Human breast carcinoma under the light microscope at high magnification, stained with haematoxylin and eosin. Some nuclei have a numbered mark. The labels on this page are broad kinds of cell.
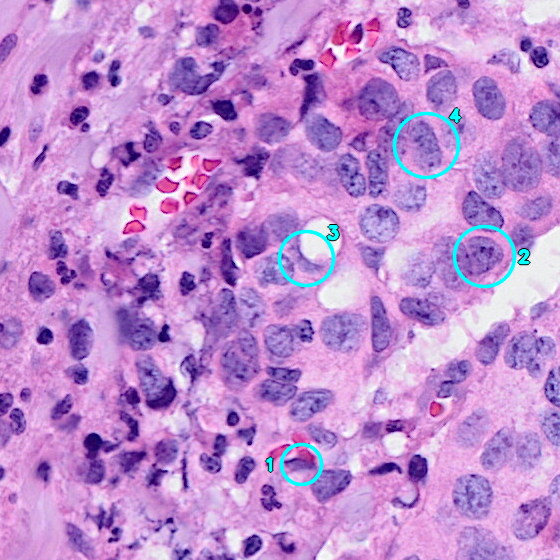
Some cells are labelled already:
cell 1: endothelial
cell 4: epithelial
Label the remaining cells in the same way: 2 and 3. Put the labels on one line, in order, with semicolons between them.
epithelial; epithelial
